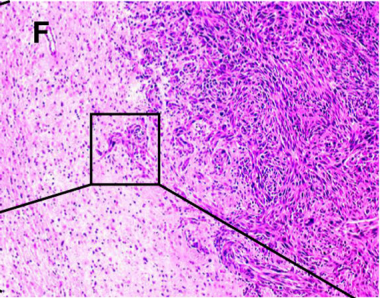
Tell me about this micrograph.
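This is the edge of a tumor, with viable tumor cells filling the right side of the field. The tumor cells are elongated, with dark purple spindle-shaped nuclei, and they are crowded together in streaming, swirling bundles. On the left lies paler pink tissue with far fewer, smaller nuclei scattered through a fine background. The border between the two is irregular, with tumor cells reaching into the paler tissue.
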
